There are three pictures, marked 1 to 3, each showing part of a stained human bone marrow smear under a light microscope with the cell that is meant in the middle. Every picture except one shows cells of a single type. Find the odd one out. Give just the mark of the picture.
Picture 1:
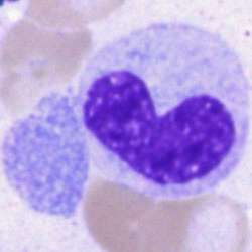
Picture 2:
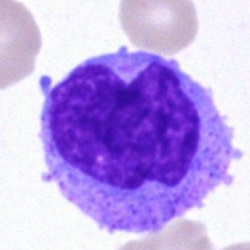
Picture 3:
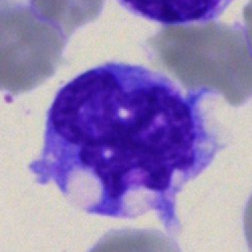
1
